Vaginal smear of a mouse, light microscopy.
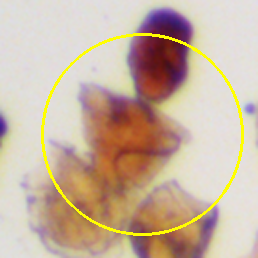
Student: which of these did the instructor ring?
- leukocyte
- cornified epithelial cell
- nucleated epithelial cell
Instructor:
The cell I ringed is a cornified epithelial cell.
